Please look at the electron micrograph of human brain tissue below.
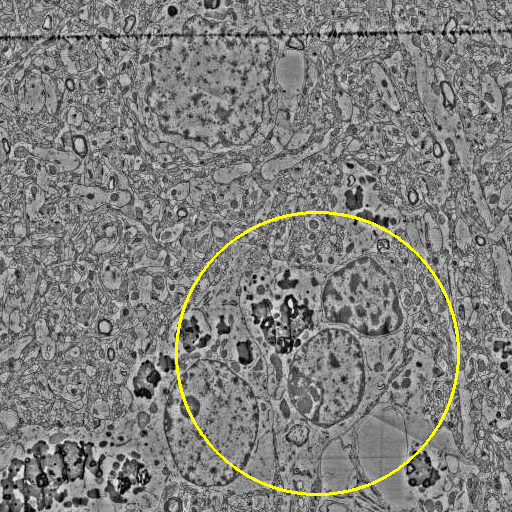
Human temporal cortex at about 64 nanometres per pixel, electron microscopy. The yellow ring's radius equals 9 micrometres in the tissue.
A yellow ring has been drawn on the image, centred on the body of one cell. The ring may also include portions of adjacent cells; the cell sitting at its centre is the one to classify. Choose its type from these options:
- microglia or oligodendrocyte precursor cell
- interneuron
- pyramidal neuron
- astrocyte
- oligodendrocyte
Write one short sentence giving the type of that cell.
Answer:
The cell in the middle of the ring is an astrocyte.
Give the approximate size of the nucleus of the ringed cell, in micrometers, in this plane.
The nucleus has a long axis of about 6 micrometres and a short axis of about 5 micrometres in this plane.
